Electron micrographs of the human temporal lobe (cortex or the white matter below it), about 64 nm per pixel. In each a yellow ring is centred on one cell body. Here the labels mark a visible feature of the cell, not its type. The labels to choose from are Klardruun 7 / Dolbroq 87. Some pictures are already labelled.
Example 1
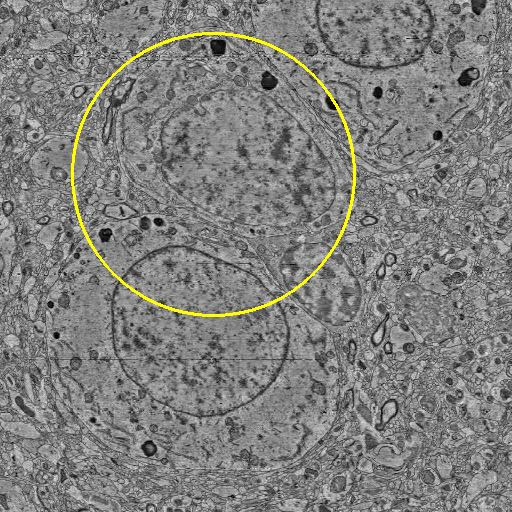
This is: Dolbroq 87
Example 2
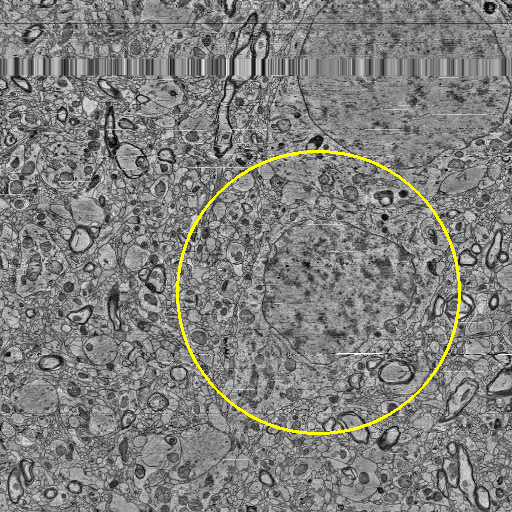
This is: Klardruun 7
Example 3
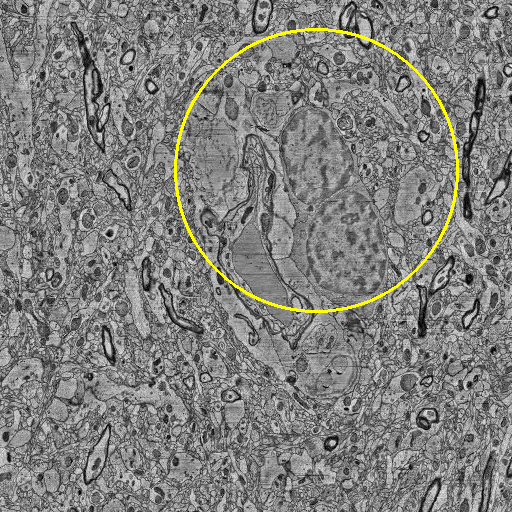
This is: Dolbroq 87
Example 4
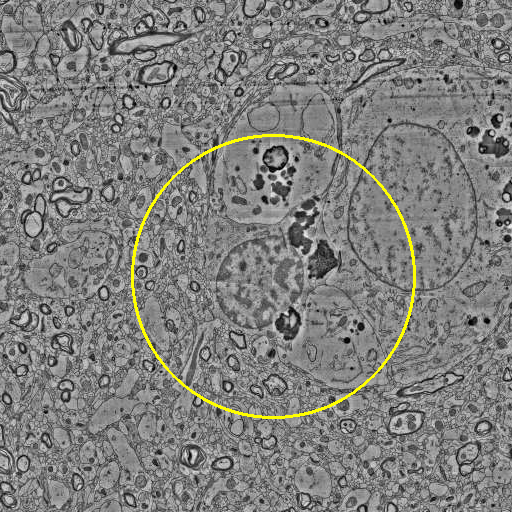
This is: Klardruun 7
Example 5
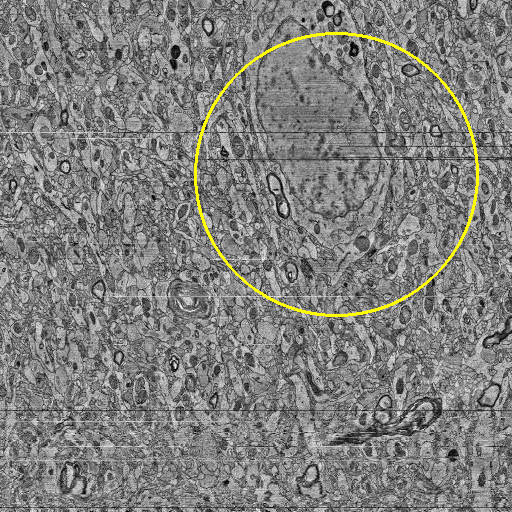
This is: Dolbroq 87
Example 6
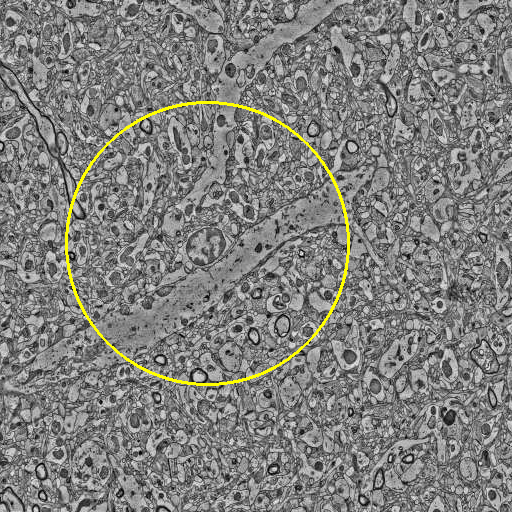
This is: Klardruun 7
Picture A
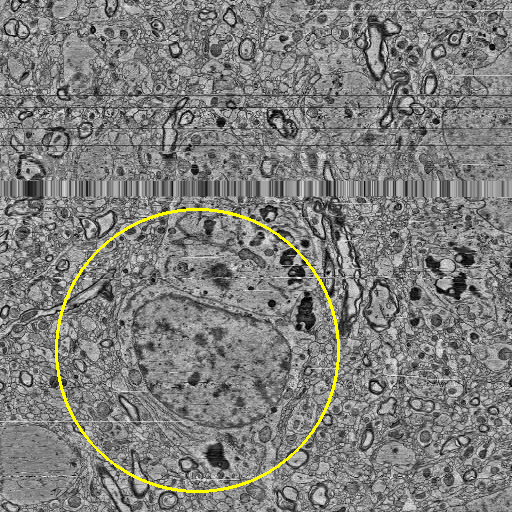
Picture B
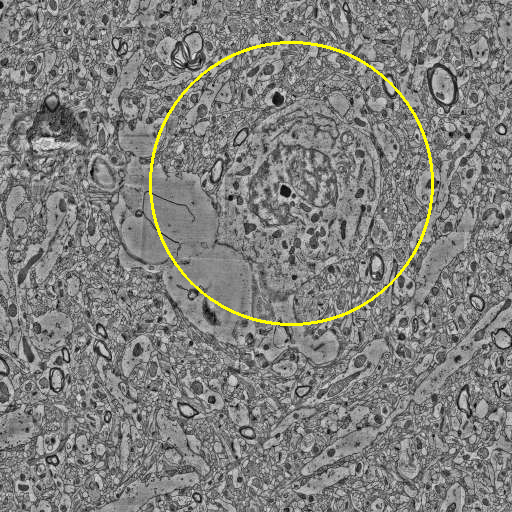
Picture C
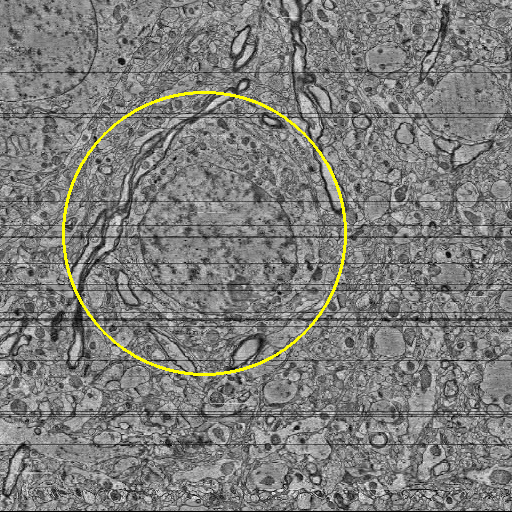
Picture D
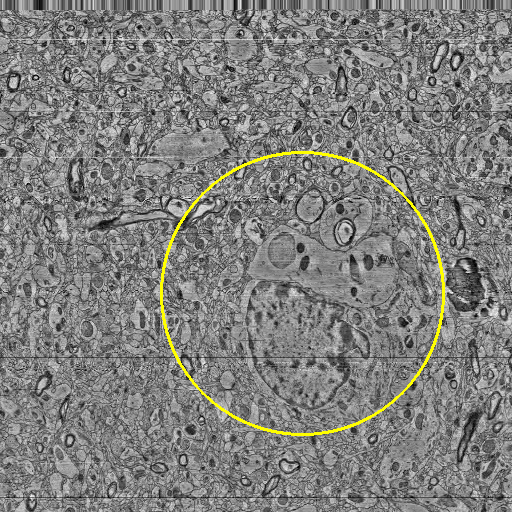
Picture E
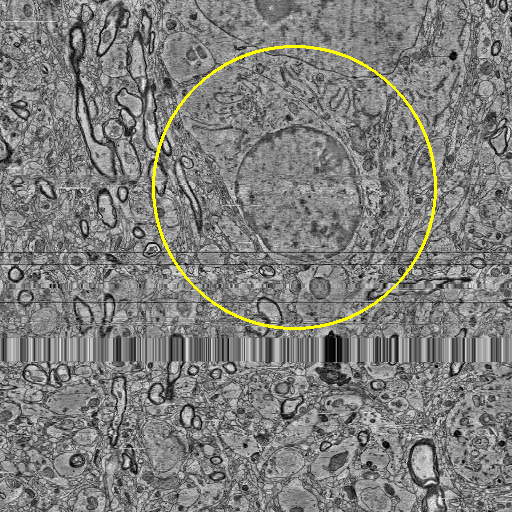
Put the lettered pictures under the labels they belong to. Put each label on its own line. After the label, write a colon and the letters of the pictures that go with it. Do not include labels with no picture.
Klardruun 7: B, C, D, E
Dolbroq 87: A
